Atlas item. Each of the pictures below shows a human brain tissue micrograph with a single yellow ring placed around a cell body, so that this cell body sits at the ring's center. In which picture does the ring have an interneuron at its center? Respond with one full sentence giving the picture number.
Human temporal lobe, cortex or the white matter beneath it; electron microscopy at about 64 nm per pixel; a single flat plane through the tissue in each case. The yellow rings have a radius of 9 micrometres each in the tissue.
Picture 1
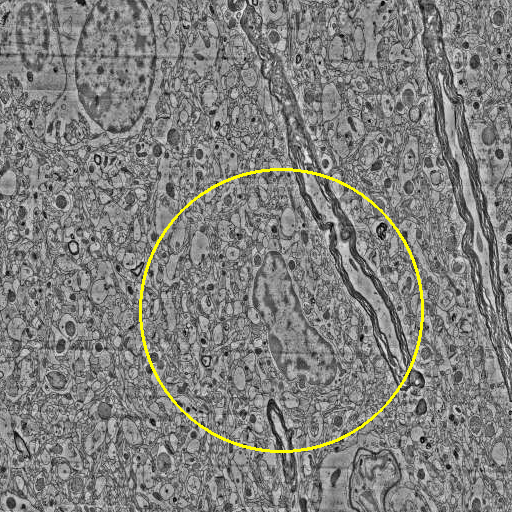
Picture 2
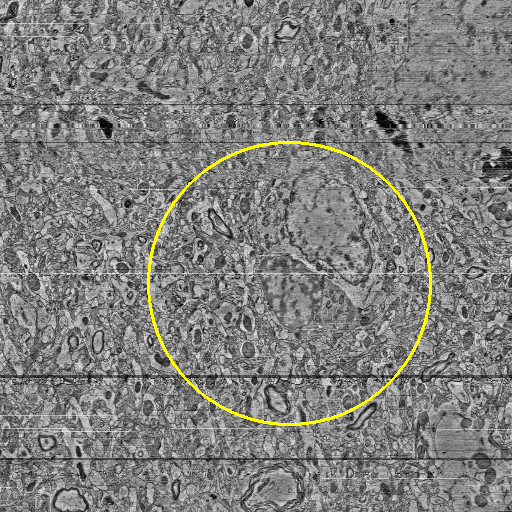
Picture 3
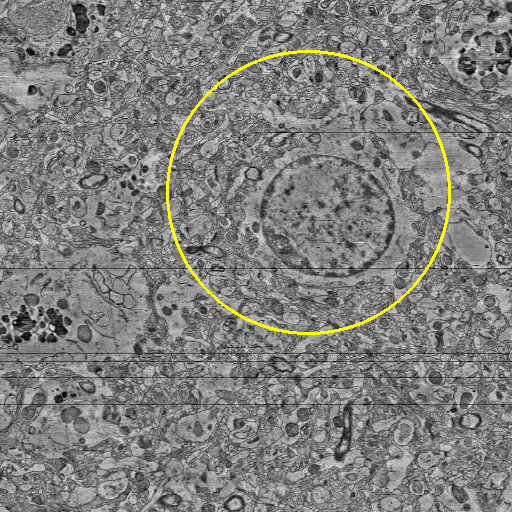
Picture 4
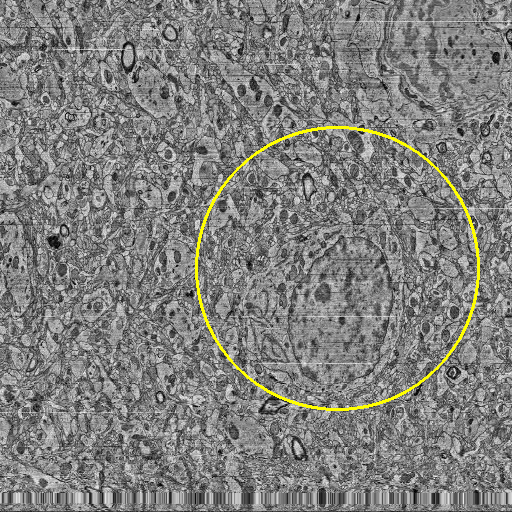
The cell at the ring's center that fits lies in picture 4.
